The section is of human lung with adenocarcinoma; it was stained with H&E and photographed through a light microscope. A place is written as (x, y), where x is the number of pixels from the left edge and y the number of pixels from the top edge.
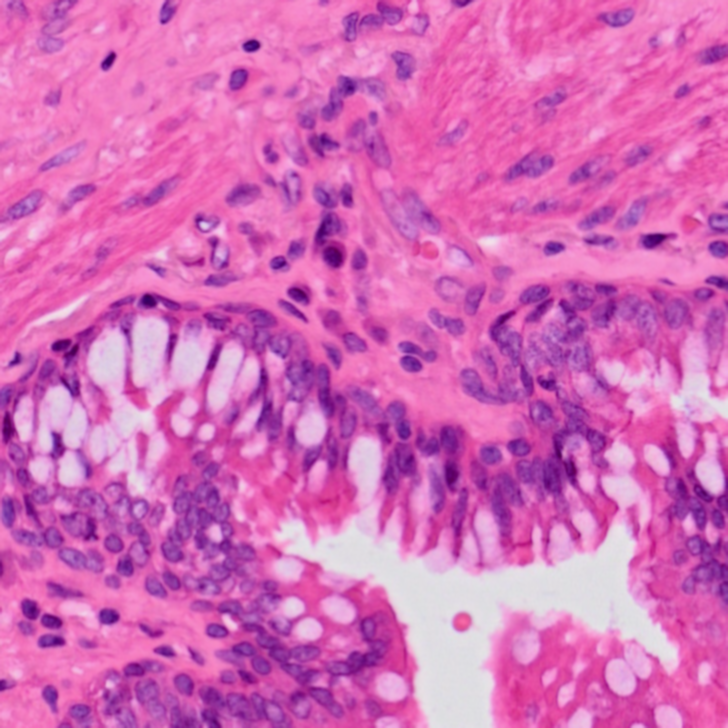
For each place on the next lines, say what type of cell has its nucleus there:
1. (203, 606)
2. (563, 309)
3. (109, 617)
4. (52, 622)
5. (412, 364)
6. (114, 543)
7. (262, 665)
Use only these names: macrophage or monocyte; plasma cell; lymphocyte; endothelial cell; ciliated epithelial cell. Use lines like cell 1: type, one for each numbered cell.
cell 1: ciliated epithelial cell
cell 2: ciliated epithelial cell
cell 3: lymphocyte
cell 4: lymphocyte
cell 5: lymphocyte
cell 6: ciliated epithelial cell
cell 7: ciliated epithelial cell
